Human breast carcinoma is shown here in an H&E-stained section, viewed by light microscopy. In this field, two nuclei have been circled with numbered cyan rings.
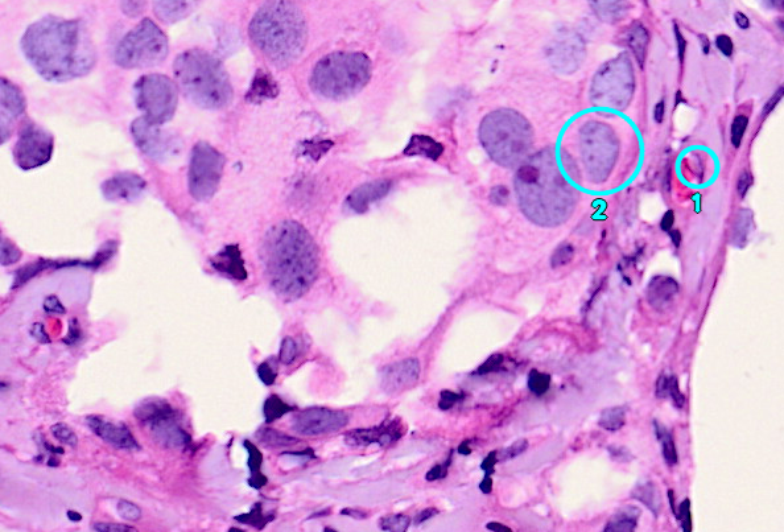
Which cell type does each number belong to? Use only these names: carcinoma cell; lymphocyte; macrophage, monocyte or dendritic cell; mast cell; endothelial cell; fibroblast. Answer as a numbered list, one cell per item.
1. endothelial cell
2. carcinoma cell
